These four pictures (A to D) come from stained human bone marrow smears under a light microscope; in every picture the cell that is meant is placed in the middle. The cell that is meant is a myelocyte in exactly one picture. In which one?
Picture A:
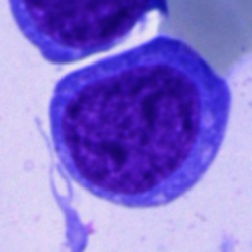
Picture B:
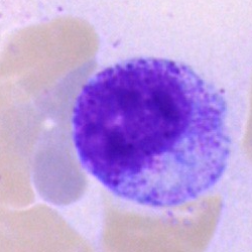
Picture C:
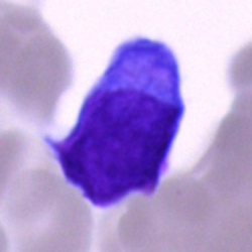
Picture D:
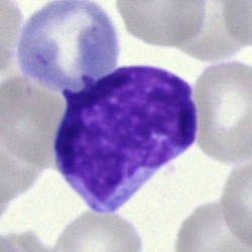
B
